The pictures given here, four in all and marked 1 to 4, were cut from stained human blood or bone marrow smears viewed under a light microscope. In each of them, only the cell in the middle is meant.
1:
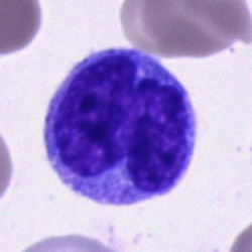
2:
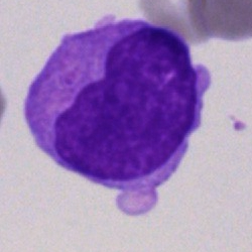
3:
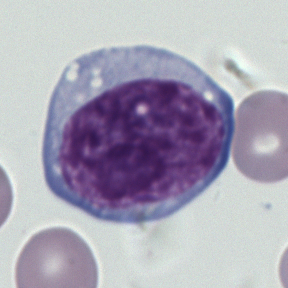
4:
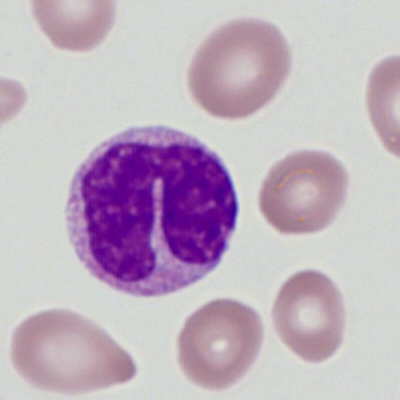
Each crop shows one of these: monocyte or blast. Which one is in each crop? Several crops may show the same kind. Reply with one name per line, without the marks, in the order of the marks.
monocyte
blast
blast
monocyte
